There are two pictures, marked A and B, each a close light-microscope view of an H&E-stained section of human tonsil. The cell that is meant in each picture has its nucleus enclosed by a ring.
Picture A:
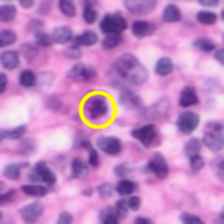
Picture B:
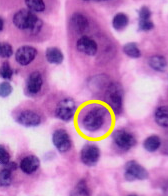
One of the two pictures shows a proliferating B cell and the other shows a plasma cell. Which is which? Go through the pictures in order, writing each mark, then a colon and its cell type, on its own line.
A: proliferating B cell
B: plasma cell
